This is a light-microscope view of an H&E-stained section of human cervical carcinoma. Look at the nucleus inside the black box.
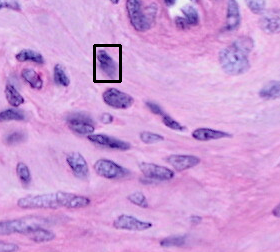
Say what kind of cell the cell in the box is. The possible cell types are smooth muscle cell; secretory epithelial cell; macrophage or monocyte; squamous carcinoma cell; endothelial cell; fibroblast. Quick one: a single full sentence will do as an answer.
In cellular terms, the cell in the box is a fibroblast.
